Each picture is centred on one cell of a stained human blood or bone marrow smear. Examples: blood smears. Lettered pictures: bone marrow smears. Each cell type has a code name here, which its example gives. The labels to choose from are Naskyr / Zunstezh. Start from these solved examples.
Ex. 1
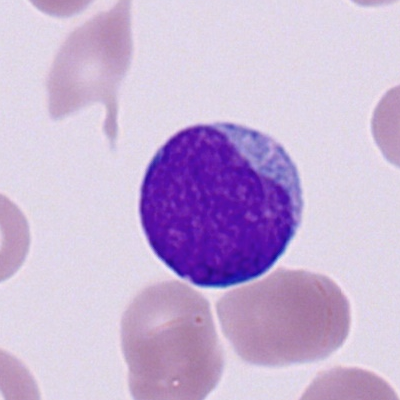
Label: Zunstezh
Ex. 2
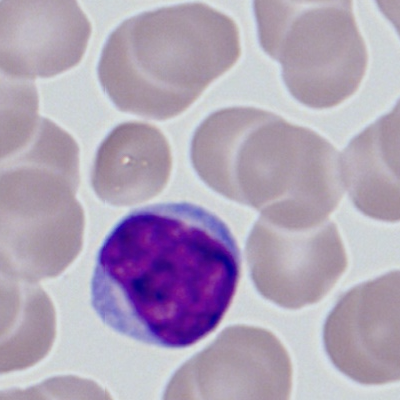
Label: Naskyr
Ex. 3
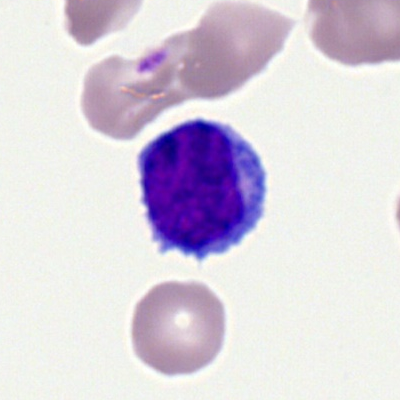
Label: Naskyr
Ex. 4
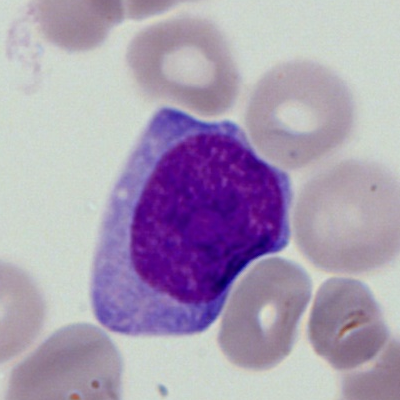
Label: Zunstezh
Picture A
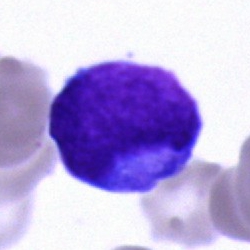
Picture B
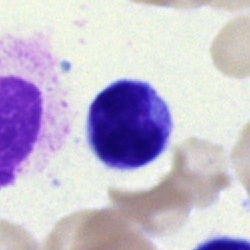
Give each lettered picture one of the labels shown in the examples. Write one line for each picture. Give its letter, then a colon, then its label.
A: Zunstezh
B: Naskyr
